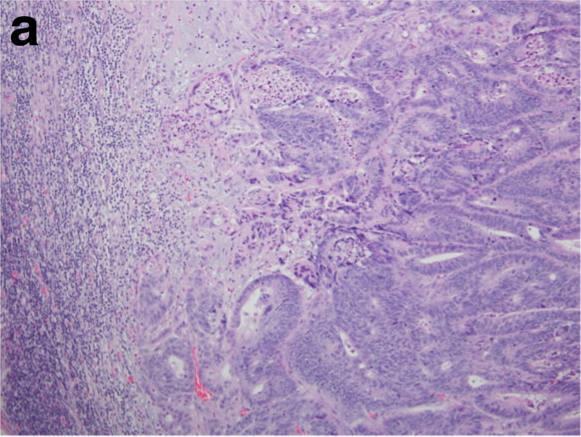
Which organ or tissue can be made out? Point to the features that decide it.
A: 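Lymph nodes. A dense band of small, dark, round lymphoid cells runs along the left side. Glandular epithelial nests lie beside this lymphoid tissue.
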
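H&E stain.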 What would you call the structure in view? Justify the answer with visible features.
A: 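Epithelial nests with small gland-like lumina occupy the right part of the panel. The epithelial cells are tall, with elongated, crowded nuclei. The nests lie in pink stroma. On this evidence: cribriform nests of tall columnar cells.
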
